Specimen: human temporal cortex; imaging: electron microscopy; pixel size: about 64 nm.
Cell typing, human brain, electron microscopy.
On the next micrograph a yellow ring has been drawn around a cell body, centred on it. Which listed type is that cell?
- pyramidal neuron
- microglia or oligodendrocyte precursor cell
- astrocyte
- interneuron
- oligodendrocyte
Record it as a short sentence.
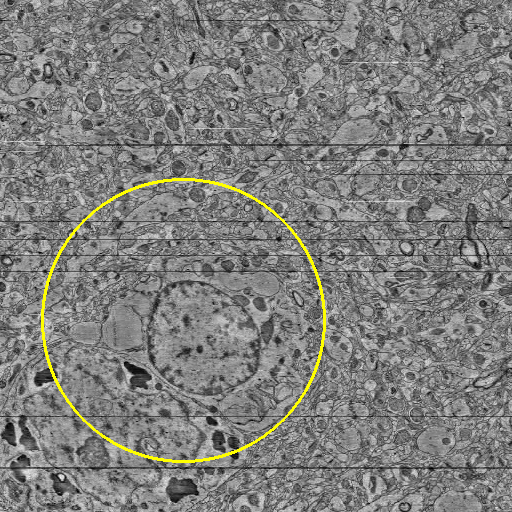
The cell body in the ring's centre belongs to an astrocyte.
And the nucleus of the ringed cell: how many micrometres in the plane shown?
The ringed cell's nucleus measures approximately 8 by 7 micrometres in this plane.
